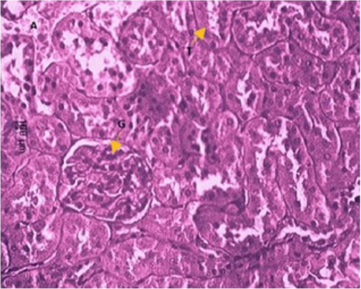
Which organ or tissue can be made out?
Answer: Kidney.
